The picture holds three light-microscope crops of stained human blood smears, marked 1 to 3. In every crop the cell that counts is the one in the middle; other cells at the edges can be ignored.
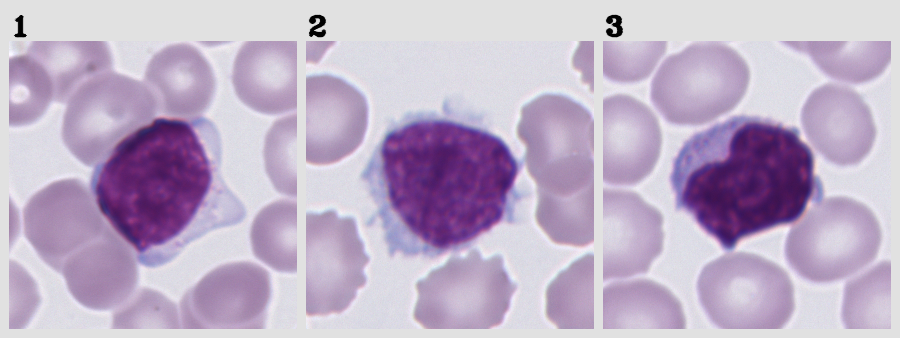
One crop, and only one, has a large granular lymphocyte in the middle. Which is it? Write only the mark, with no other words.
1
